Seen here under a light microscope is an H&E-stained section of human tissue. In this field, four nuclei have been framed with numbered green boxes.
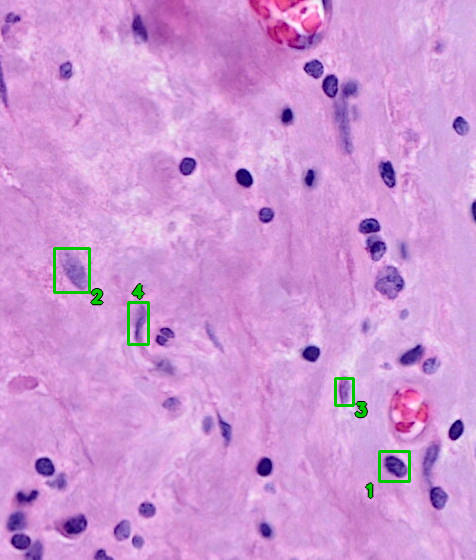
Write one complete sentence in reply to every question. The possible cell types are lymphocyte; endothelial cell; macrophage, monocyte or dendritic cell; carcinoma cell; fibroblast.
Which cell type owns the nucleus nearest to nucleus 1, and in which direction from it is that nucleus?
The nearest nucleus is that of a macrophage, monocyte or dendritic cell and lies to the right of nucleus 1.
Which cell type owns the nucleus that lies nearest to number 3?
Number 3 lies closest to the nucleus of a lymphocyte.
